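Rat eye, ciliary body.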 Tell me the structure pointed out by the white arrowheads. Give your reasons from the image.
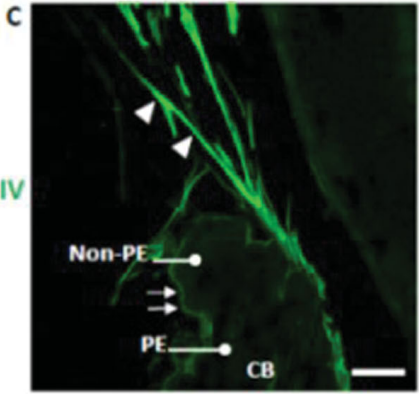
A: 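Long, thin, straight green strands run diagonally away from the tissue.
Zonular fibers.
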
